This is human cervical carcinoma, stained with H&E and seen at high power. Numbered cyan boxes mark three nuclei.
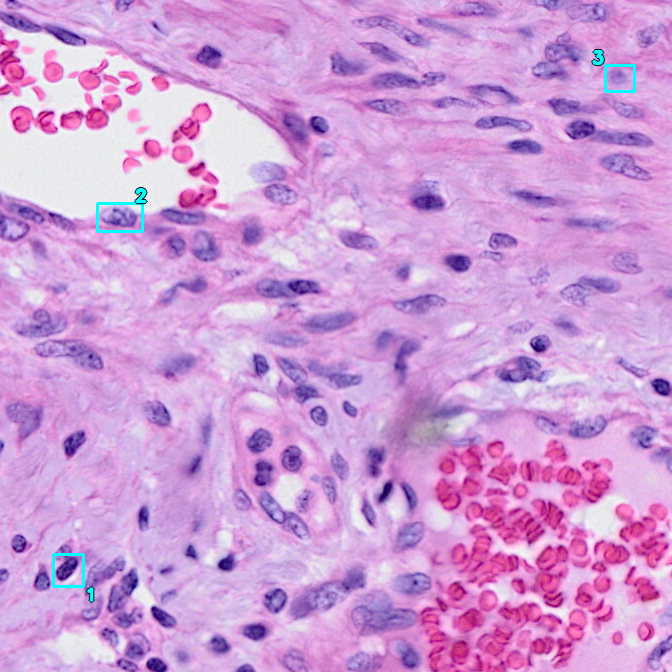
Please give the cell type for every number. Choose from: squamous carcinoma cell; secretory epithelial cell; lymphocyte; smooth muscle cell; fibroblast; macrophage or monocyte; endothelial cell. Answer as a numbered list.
1. lymphocyte
2. endothelial cell
3. smooth muscle cell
